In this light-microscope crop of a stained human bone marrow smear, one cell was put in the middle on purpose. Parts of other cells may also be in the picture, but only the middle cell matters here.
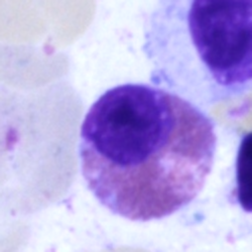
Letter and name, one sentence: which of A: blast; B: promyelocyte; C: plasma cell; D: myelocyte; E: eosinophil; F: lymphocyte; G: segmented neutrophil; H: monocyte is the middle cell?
Option E is correct, and the cell in the centre is an eosinophil.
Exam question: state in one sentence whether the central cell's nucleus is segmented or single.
The nucleus holds together as a single compact mass, round, oval or kidney-like.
